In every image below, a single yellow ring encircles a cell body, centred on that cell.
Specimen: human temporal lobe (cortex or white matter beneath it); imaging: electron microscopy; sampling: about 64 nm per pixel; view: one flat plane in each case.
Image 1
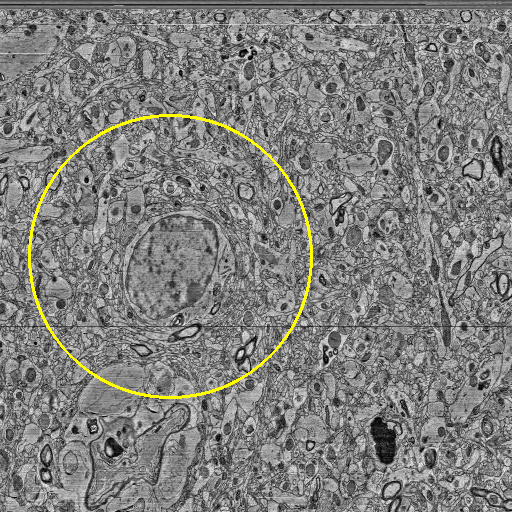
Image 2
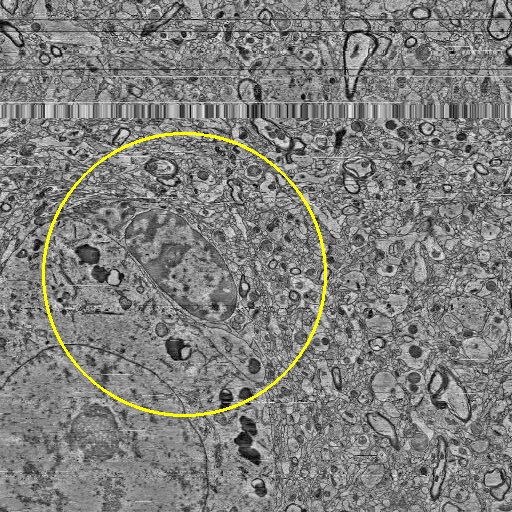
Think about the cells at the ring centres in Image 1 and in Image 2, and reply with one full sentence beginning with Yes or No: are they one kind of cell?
Yes, the cells centred in the rings of Image 1 and Image 2 are one kind of cell.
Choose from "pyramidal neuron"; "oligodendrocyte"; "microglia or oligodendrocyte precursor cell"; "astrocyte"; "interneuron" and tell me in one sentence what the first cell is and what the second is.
In each picture the ringed cell is a microglial cell or oligodendrocyte precursor cell.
